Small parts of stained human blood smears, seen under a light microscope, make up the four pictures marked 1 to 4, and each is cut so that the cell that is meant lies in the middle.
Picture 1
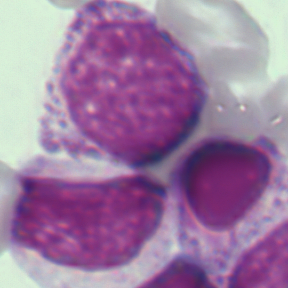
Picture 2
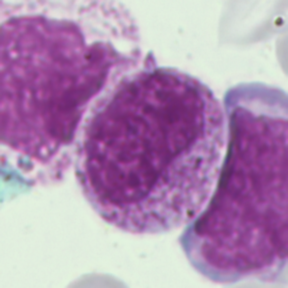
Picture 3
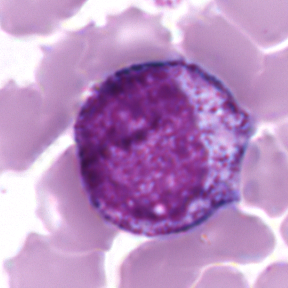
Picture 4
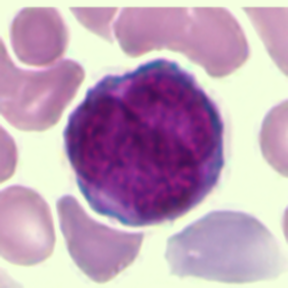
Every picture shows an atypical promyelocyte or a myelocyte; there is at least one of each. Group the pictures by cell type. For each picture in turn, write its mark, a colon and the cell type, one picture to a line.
1: myelocyte
2: myelocyte
3: myelocyte
4: atypical promyelocyte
